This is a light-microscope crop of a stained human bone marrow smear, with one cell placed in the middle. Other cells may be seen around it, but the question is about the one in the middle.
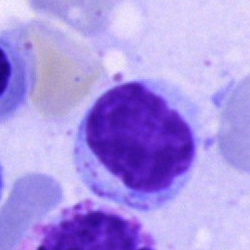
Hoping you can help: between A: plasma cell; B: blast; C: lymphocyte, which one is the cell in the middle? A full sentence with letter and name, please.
The cell occupying the centre is a lymphocyte; option C is thus the correct choice.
